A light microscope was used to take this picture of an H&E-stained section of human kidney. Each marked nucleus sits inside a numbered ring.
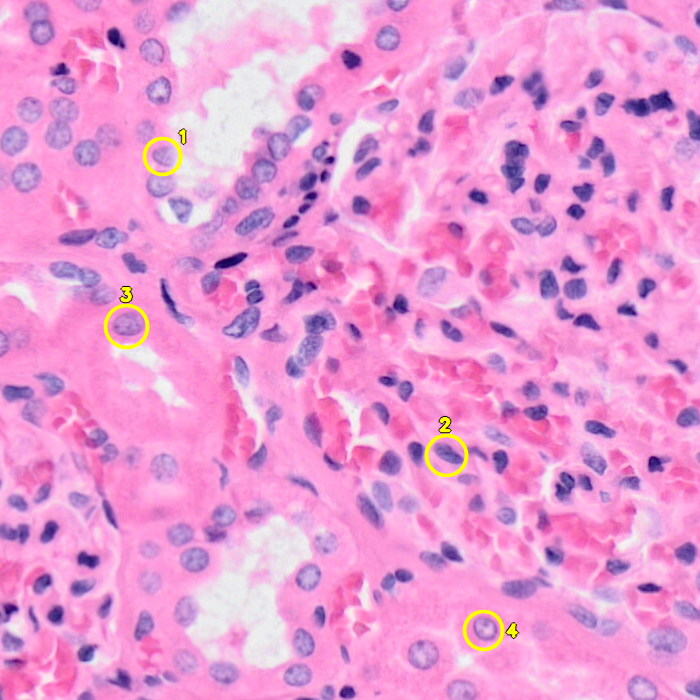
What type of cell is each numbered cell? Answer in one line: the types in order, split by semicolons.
loop of Henle or distal tubule cell; endothelial cell; proximal tubule cell; proximal tubule cell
